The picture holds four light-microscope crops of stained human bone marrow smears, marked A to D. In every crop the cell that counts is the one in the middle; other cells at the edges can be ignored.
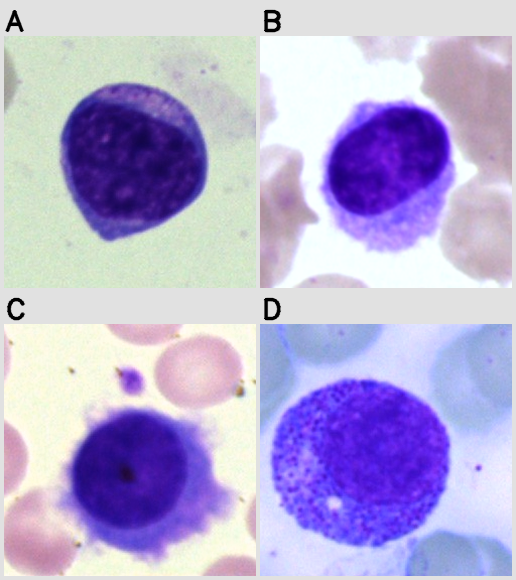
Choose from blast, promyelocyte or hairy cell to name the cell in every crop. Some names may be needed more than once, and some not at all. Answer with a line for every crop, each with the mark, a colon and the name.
A: blast
B: hairy cell
C: hairy cell
D: promyelocyte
